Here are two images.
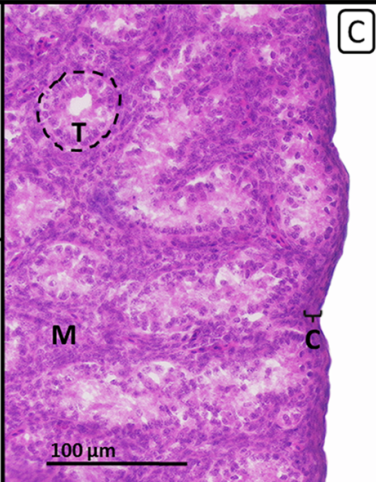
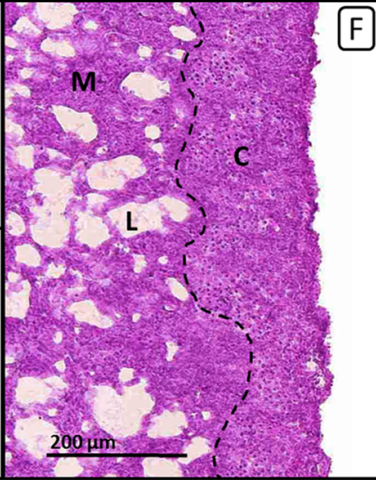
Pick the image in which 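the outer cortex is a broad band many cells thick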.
the second image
